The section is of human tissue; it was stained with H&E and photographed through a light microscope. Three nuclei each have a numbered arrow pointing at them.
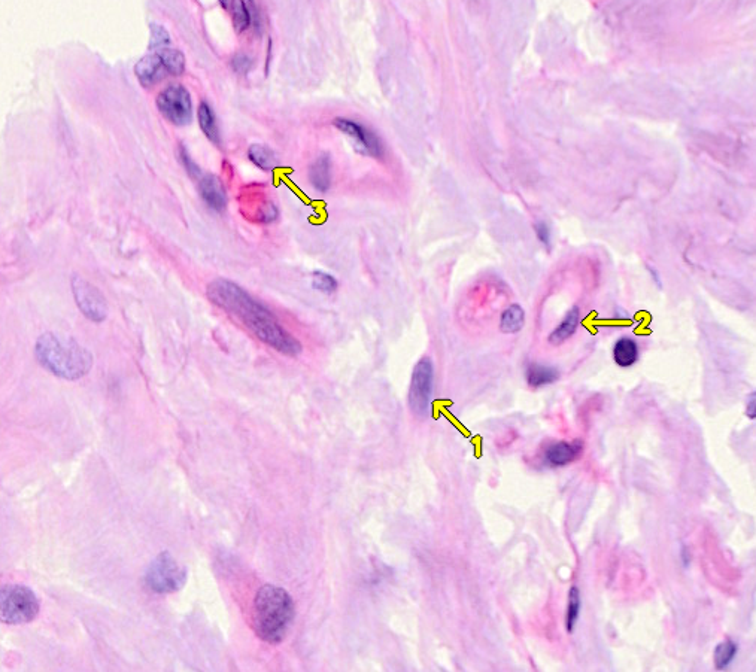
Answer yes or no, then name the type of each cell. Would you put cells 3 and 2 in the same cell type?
Yes, the cells numbered 3 and 2 are both endothelial cells.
